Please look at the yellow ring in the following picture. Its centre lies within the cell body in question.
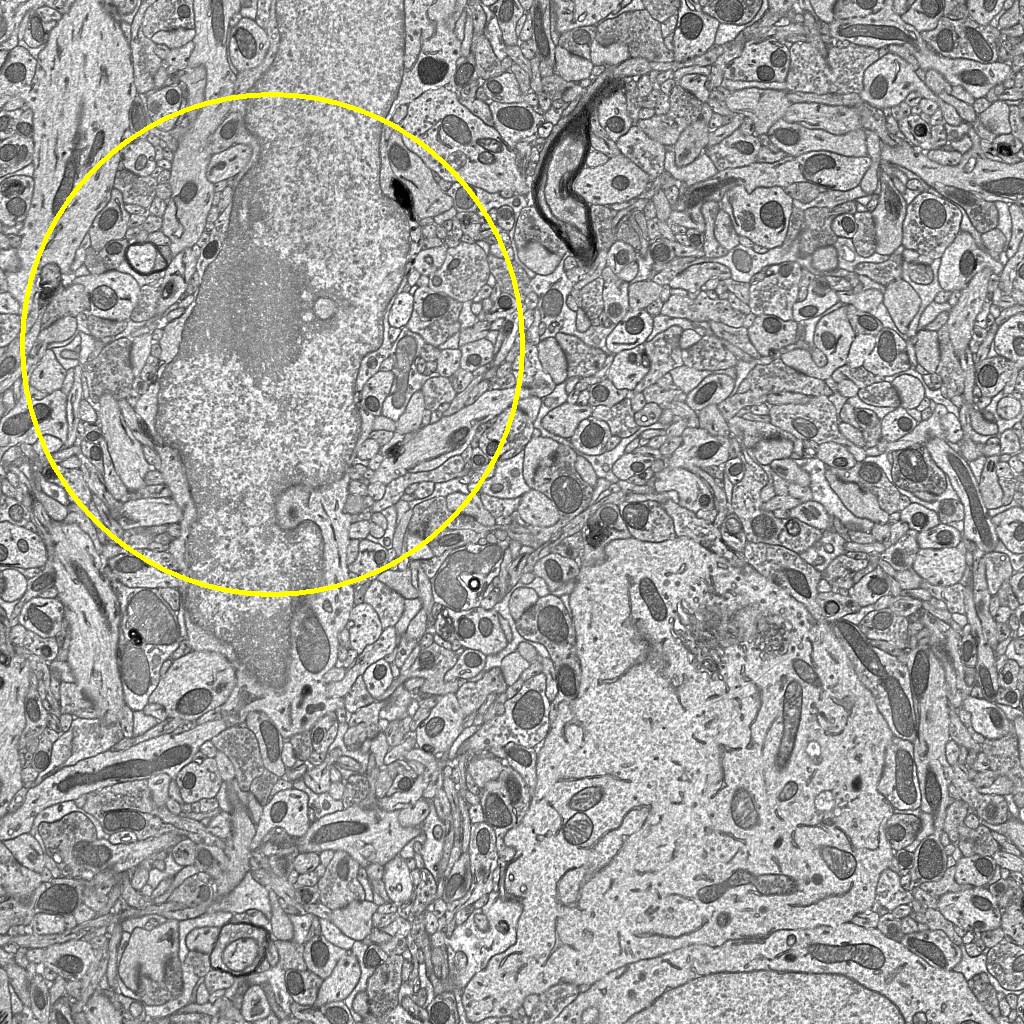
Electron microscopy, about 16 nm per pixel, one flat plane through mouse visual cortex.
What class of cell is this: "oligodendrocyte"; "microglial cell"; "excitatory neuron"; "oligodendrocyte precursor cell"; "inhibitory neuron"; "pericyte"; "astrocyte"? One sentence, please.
The centre of the ring lies in the cell body of an oligodendrocyte precursor cell.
